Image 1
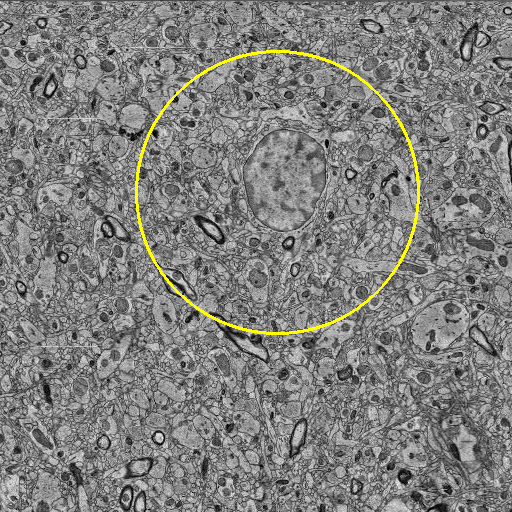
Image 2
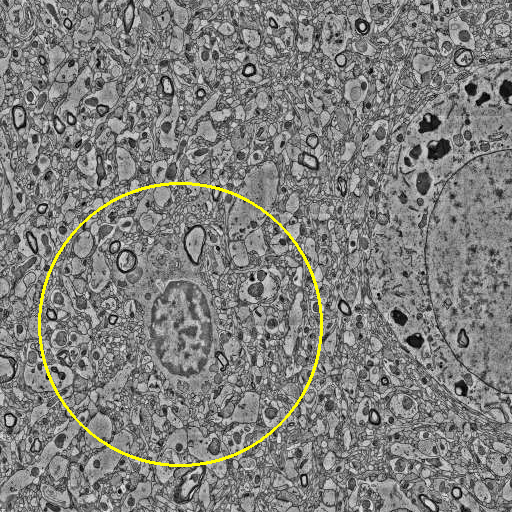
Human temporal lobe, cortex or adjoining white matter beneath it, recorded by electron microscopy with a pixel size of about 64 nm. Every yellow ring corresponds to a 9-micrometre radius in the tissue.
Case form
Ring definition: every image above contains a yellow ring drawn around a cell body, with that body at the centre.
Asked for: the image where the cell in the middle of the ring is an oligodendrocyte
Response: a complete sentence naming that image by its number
Image 2 is the one.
